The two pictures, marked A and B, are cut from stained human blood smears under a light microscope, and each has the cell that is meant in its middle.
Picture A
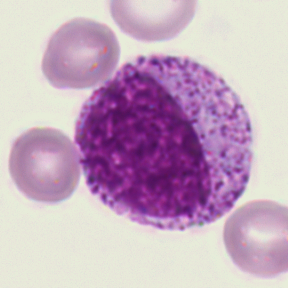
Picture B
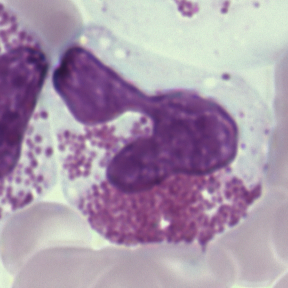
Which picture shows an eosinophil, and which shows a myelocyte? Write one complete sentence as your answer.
The cell in picture A is a myelocyte, and the one in picture B is an eosinophil.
